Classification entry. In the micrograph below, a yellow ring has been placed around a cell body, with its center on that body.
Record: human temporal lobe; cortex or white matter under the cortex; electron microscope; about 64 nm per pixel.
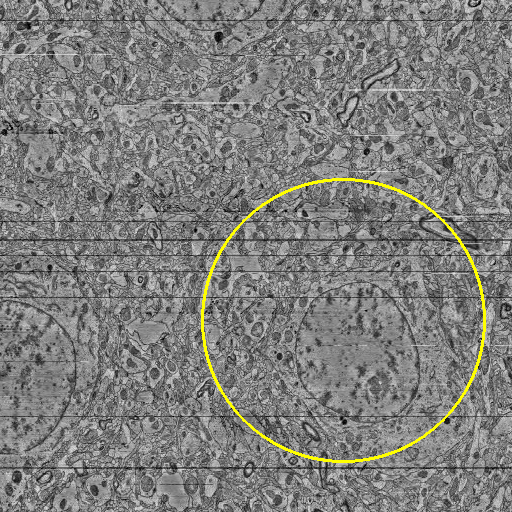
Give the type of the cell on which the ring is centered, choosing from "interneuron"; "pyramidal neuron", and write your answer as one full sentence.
The cell body at the center of the yellow ring belongs to a pyramidal neuron.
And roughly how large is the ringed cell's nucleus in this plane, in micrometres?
The nucleus of the ringed cell is approximately 9 by 8 micrometres in this plane.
